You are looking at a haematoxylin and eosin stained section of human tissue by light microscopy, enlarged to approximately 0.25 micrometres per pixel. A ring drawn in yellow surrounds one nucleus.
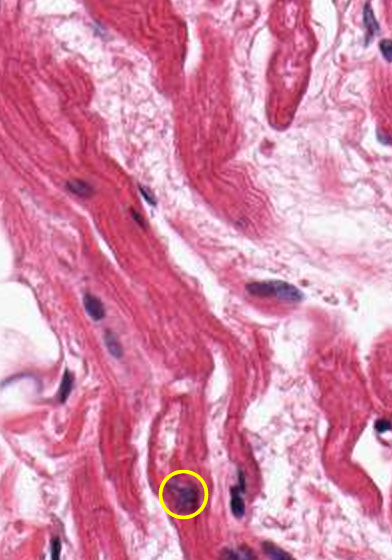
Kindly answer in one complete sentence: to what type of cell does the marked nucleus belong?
The owner of the marked nucleus is a cardiomyocyte.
